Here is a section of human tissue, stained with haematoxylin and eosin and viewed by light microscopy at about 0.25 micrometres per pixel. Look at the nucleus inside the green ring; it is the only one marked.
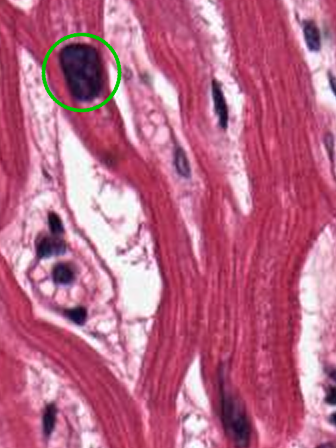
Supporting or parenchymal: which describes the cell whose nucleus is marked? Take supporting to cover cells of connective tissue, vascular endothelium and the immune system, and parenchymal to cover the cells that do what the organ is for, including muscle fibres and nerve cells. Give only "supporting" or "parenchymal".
parenchymal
